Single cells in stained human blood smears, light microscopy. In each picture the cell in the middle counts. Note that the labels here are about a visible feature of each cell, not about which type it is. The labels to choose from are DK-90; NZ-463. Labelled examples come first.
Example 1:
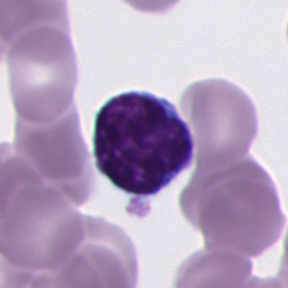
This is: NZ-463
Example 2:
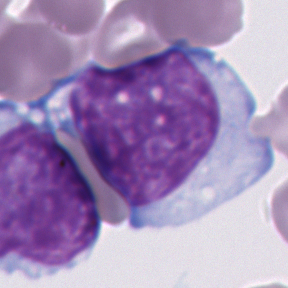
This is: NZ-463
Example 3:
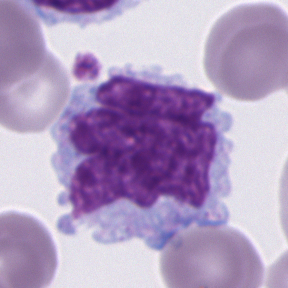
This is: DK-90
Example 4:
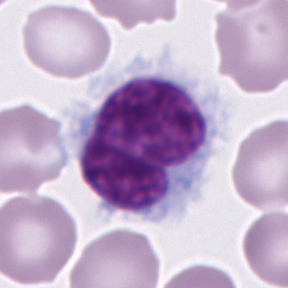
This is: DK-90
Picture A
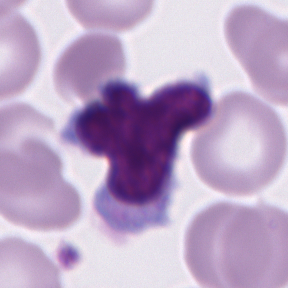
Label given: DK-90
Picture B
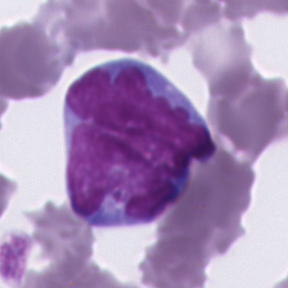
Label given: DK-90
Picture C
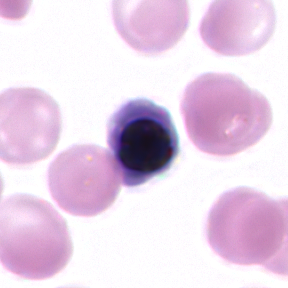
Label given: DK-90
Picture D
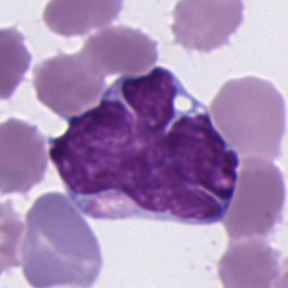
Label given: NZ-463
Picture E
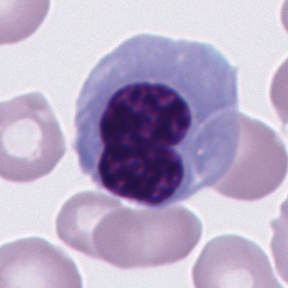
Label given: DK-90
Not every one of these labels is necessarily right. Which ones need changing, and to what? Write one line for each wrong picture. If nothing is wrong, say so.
Wrong: C (DK-90); correct: NZ-463
Wrong: D (NZ-463); correct: DK-90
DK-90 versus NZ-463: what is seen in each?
Seen in DK-90: lobed nucleus; seen in NZ-463: single compact nucleus.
